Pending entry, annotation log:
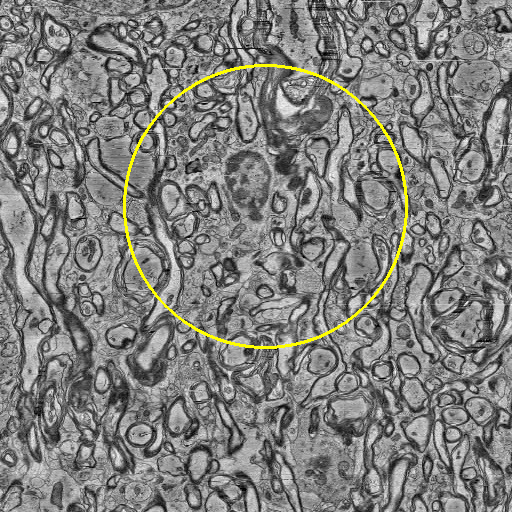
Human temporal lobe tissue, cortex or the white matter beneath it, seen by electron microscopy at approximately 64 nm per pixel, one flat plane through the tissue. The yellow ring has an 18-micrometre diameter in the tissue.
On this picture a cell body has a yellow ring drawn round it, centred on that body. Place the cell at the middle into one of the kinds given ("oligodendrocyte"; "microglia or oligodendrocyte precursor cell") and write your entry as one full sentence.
The cell body at the middle of the yellow ring belongs to a microglial cell or oligodendrocyte precursor cell.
